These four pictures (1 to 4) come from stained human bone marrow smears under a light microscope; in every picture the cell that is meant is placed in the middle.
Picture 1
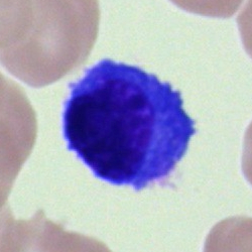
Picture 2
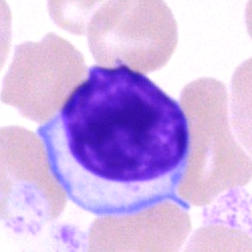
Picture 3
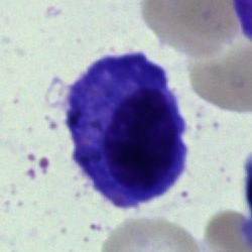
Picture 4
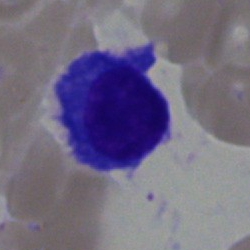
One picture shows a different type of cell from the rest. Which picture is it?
2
